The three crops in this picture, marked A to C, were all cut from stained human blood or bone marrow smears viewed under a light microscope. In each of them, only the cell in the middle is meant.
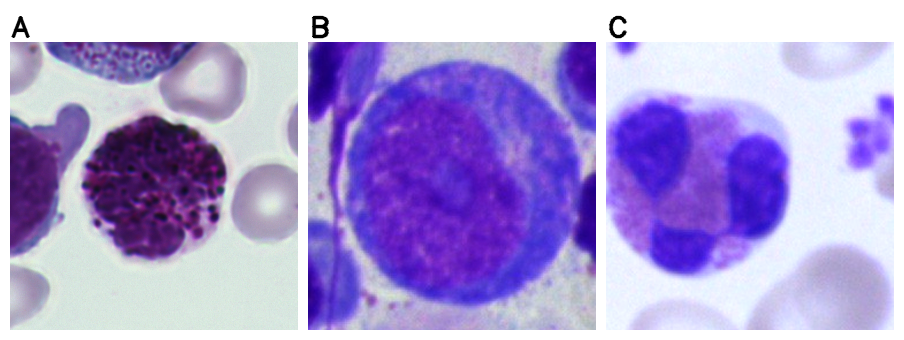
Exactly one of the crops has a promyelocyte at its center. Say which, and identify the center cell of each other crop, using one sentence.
Whereas crop A is a basophil and crop C is an eosinophil, the cell at the centre of crop B is a promyelocyte.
